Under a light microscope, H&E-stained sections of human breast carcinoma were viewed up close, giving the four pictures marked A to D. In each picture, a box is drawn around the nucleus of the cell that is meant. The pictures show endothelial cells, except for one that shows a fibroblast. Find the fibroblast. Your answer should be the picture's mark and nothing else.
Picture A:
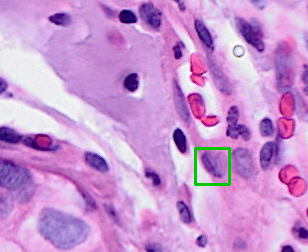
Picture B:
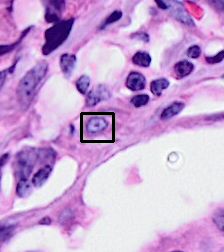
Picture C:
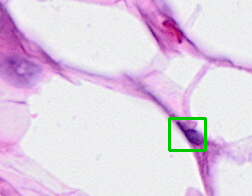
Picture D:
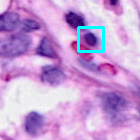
C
